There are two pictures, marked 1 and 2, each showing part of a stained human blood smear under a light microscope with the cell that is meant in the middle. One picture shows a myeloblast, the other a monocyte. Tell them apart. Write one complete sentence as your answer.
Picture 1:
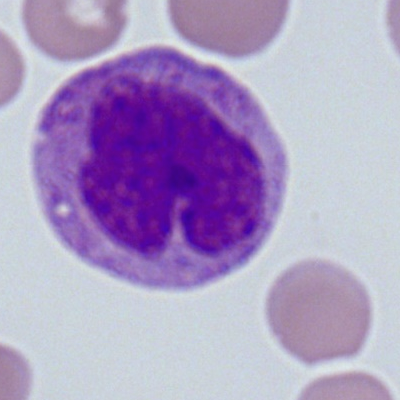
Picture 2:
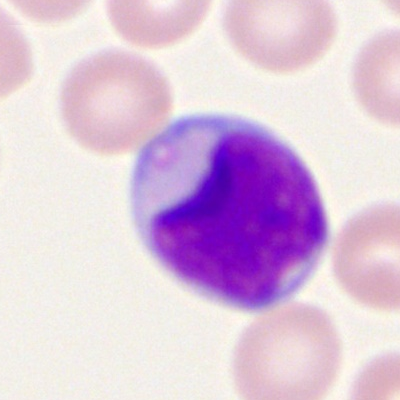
In picture 1 the cell is a monocyte; in picture 2, a myeloblast.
